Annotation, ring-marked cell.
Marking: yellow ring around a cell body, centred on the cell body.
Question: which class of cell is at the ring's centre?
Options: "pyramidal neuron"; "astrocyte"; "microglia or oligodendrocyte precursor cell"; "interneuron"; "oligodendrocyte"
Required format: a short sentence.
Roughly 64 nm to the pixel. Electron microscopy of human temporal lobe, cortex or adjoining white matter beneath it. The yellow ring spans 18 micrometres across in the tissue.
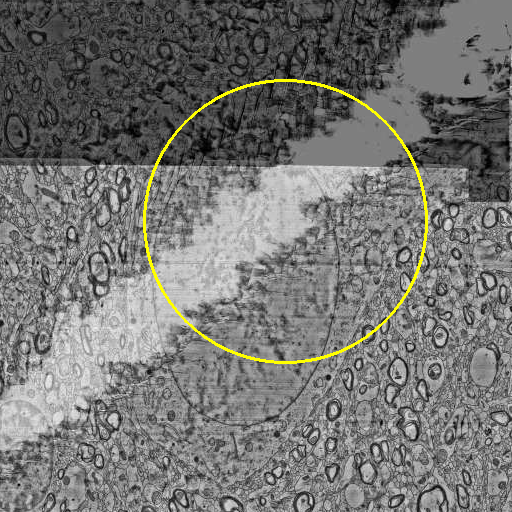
At the ring's centre is a pyramidal neuron.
